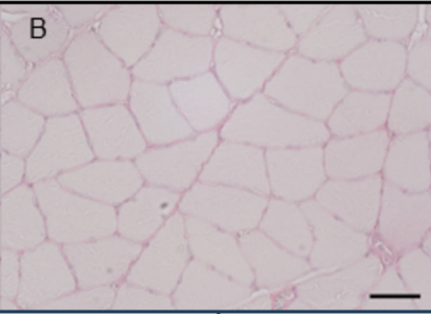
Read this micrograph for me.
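This cross section of skeletal muscle shows large polygonal muscle fibres fitted tightly against one another. The fibres have pale pink, homogeneous cytoplasm and are separated only by thin pink connective tissue partitions.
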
